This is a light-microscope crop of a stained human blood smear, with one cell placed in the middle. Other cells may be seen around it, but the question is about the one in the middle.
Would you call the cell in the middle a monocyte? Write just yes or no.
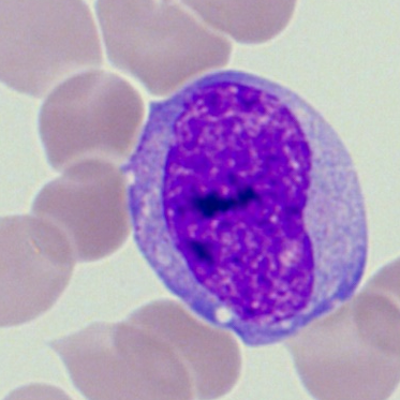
yes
